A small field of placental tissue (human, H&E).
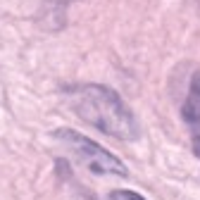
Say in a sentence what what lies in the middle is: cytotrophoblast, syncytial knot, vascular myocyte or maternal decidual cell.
This is a vascular myocyte.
